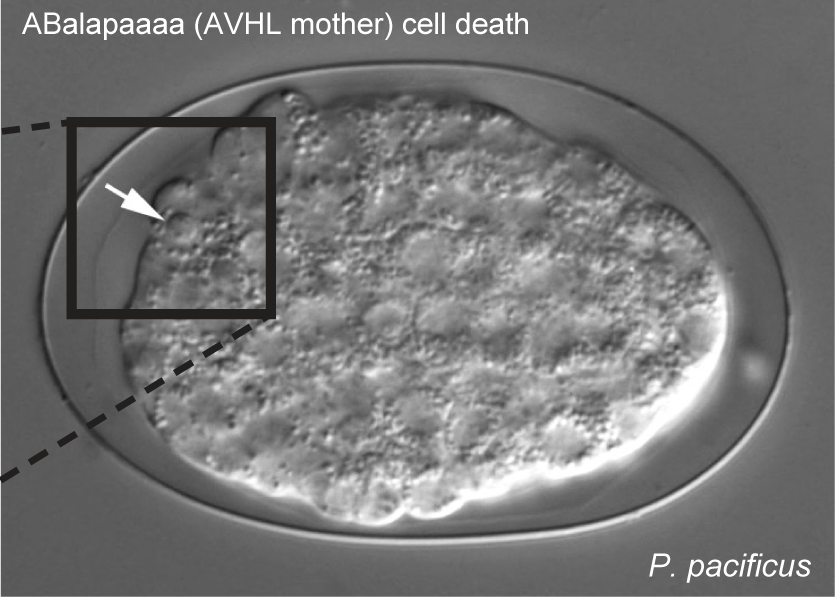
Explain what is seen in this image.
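The embryo is a packed mass of many small rounded cells with granular cytoplasm, and it fills most of the shell, leaving a clear gap between the cell mass and the shell wall. Near one edge of the cell mass, inside the boxed region, a white arrow points to a single rounded cell among its neighbours.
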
